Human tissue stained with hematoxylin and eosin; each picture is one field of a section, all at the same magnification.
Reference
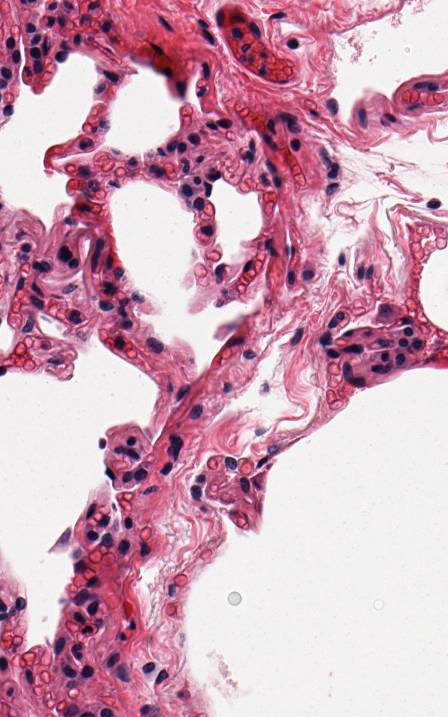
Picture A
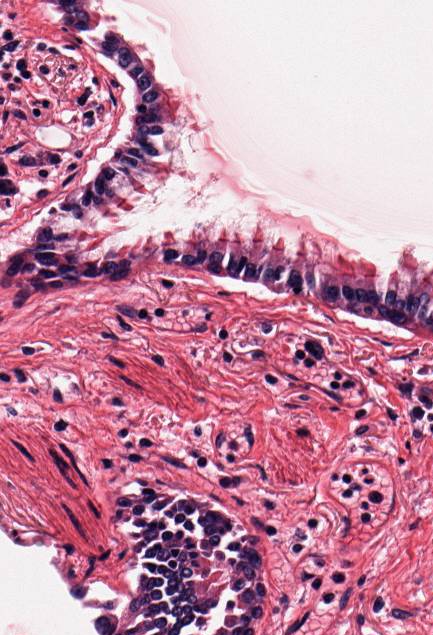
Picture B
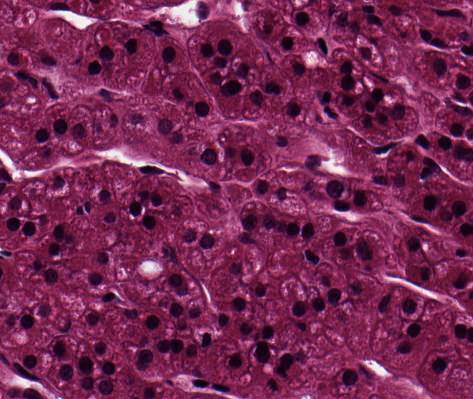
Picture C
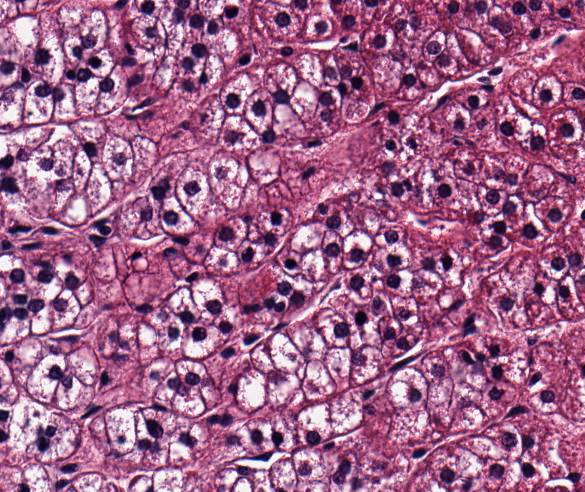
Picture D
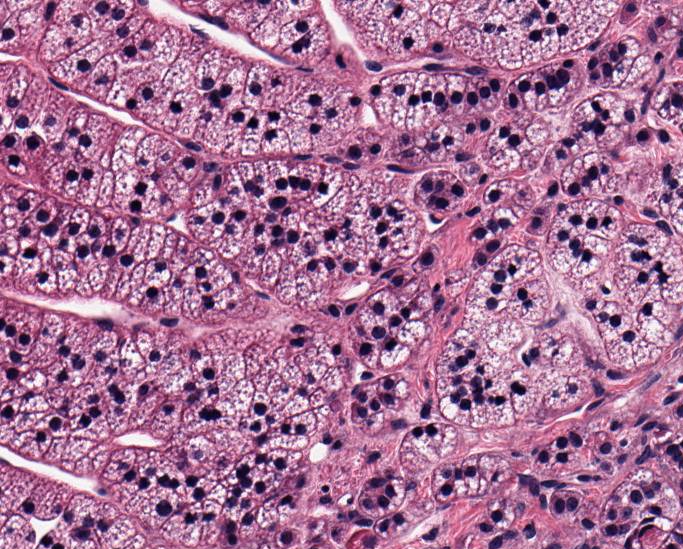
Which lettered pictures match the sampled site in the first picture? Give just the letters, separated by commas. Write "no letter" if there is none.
A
